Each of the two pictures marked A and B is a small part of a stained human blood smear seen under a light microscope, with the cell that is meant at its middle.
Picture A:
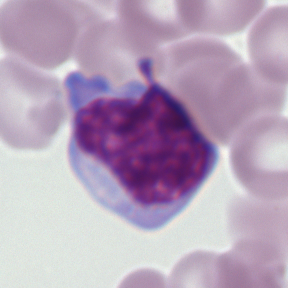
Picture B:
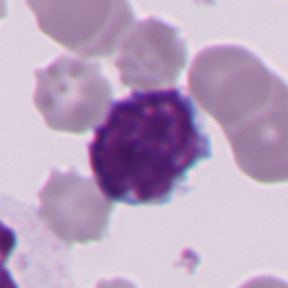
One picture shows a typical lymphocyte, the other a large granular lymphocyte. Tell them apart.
A: large granular lymphocyte
B: typical lymphocyte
